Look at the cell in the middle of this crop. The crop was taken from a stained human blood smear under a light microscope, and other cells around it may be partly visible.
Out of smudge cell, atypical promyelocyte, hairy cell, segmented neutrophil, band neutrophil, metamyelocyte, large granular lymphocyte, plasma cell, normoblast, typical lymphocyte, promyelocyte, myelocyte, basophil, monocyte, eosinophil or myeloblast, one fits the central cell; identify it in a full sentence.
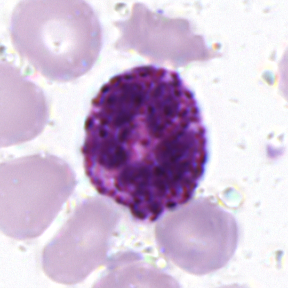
The centrally located cell in the crop is a basophil.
